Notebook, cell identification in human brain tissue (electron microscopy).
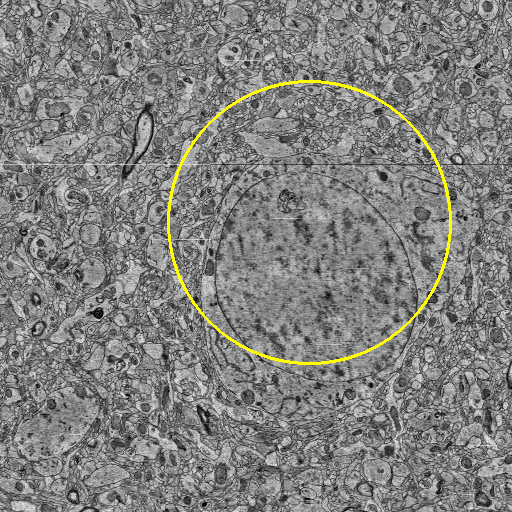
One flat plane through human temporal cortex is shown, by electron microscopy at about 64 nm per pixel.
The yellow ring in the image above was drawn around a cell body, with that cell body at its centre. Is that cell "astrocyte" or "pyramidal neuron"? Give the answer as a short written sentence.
The cell in the ring is a pyramidal neuron.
